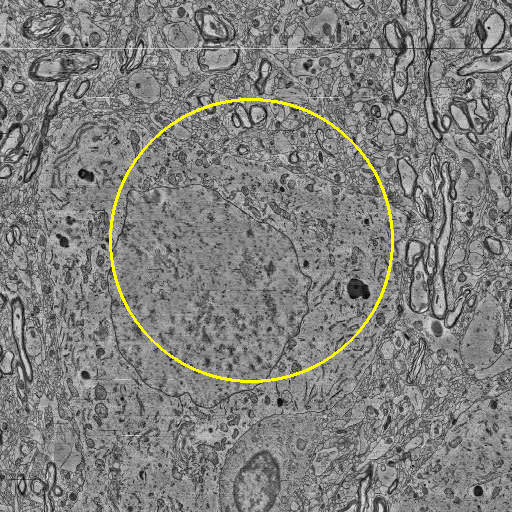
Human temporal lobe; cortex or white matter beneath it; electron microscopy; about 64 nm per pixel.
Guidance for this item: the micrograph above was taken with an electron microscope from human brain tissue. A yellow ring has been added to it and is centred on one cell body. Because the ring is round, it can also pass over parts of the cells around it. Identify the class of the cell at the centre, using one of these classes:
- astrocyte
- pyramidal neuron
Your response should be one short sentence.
The ring surrounds the body of a pyramidal neuron.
